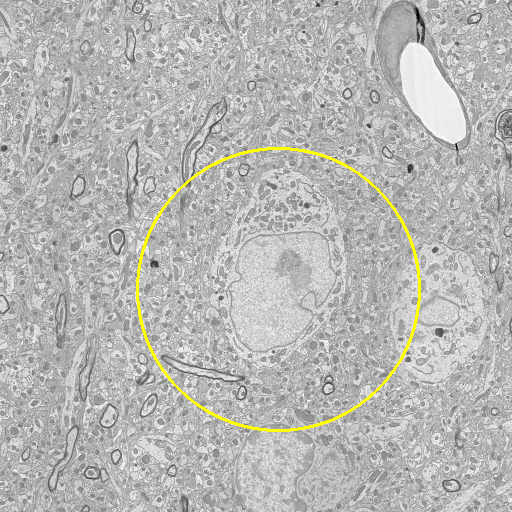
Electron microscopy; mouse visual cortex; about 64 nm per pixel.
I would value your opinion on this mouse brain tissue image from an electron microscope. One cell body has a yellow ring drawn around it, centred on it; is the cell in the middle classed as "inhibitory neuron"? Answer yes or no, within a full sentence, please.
Yes, I would class the cell in the middle of the ring as that kind.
